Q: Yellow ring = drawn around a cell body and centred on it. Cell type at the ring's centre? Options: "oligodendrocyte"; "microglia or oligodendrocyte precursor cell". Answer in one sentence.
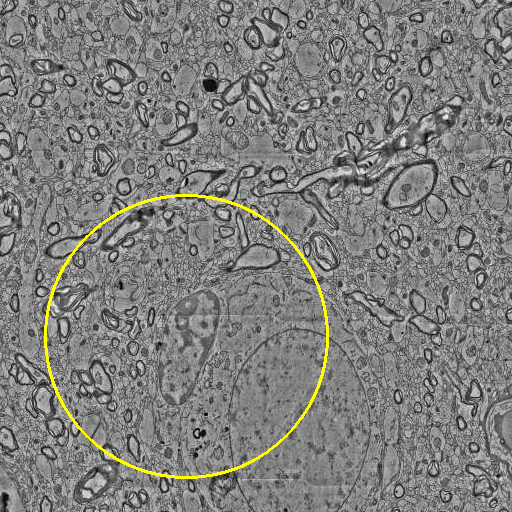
Centred in the ring is a microglial cell or oligodendrocyte precursor cell.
